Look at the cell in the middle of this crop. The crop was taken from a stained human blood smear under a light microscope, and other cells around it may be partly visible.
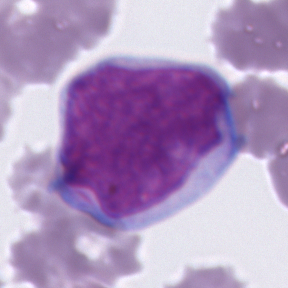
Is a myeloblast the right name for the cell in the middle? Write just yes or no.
yes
